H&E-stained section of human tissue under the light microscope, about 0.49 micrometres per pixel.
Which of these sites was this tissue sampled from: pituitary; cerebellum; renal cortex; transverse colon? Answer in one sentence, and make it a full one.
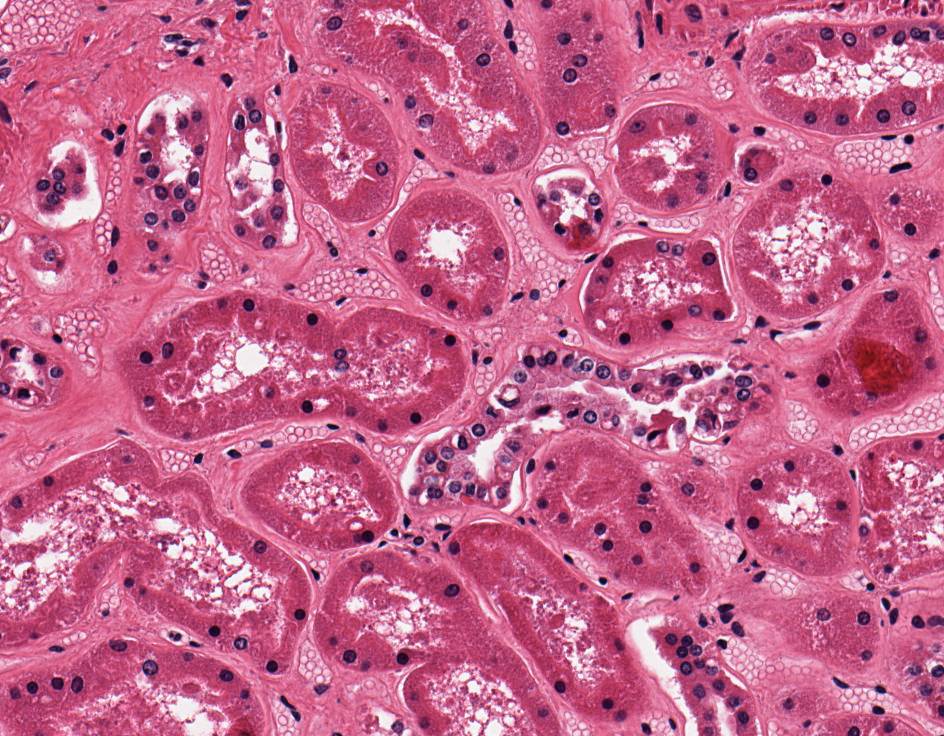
This section was cut from tissue of the renal cortex.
